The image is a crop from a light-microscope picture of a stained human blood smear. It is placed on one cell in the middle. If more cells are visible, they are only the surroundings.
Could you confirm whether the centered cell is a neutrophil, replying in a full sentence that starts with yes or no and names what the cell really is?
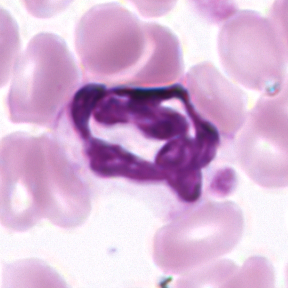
Yes, at the centre of the crop lies a neutrophil.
